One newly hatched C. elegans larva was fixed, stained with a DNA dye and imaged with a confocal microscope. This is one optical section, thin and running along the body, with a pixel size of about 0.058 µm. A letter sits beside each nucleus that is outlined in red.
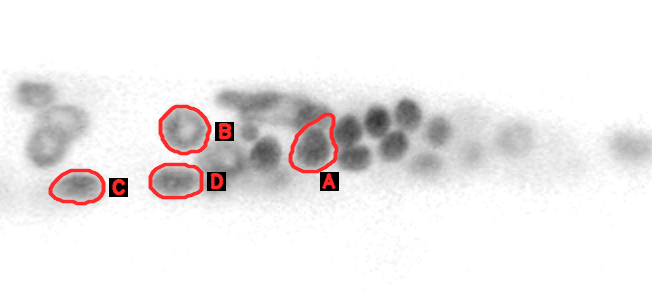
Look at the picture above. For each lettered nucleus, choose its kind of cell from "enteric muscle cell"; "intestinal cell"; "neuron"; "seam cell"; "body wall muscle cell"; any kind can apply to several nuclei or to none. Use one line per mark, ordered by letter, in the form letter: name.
A: neuron
B: intestinal cell
C: body wall muscle cell
D: enteric muscle cell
